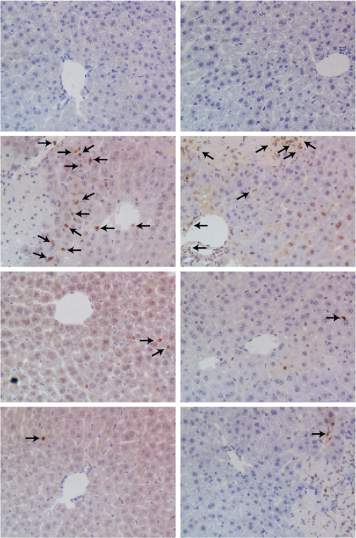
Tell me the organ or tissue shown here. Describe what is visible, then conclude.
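Liver. Large polygonal cells with round central nuclei in plates. Vessel lumens are lined by flat cells and surrounded by cell plates.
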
